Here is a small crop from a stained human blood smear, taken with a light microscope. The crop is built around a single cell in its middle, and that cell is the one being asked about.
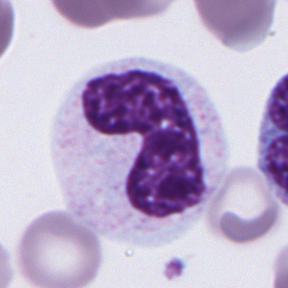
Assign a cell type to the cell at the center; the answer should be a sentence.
In this smear crop, the middle cell is a band neutrophil.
